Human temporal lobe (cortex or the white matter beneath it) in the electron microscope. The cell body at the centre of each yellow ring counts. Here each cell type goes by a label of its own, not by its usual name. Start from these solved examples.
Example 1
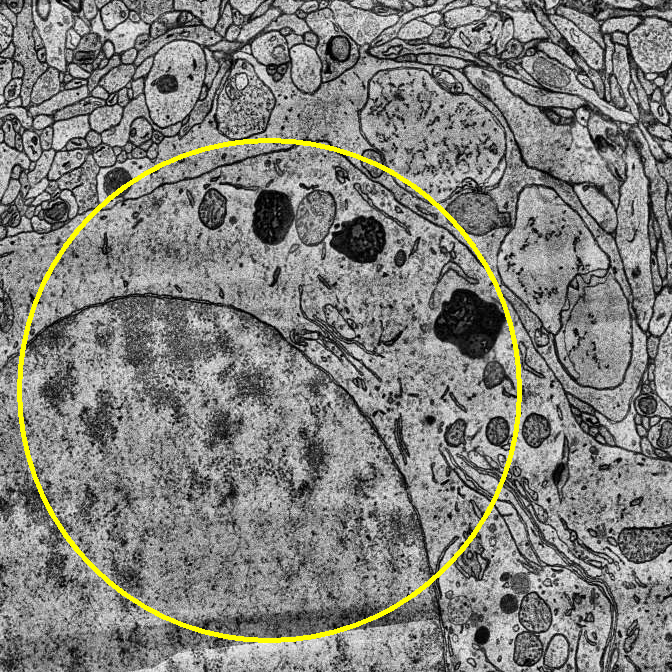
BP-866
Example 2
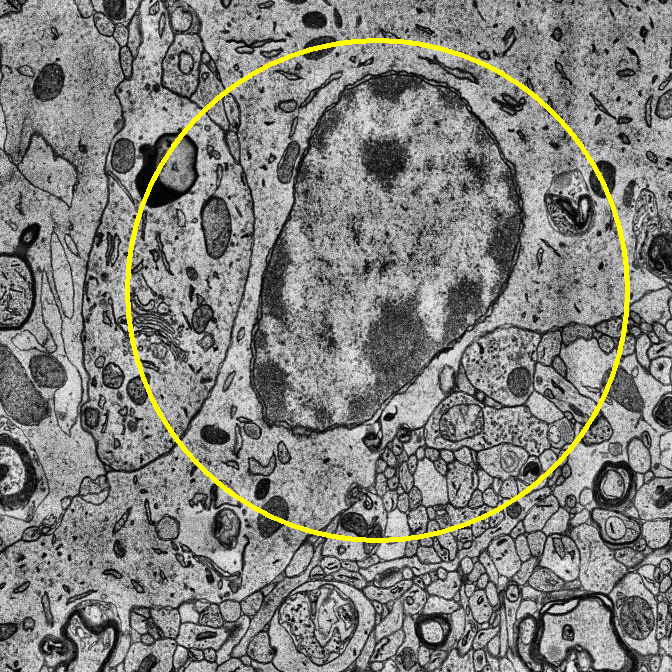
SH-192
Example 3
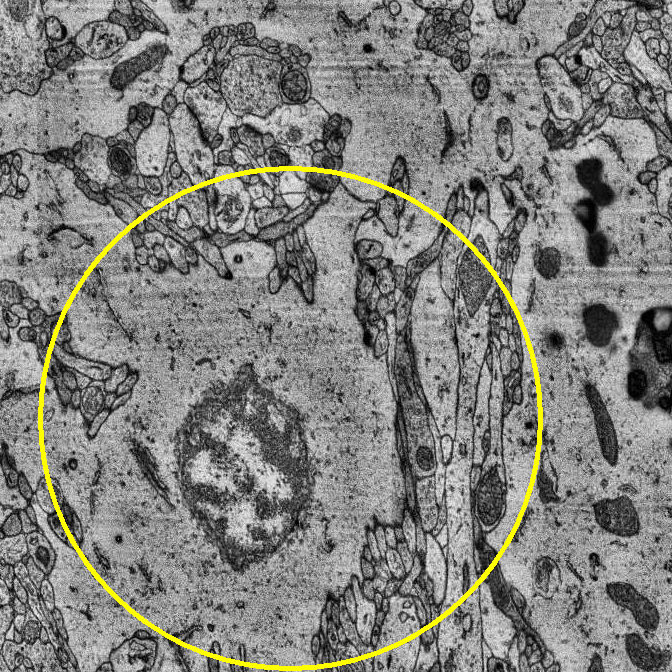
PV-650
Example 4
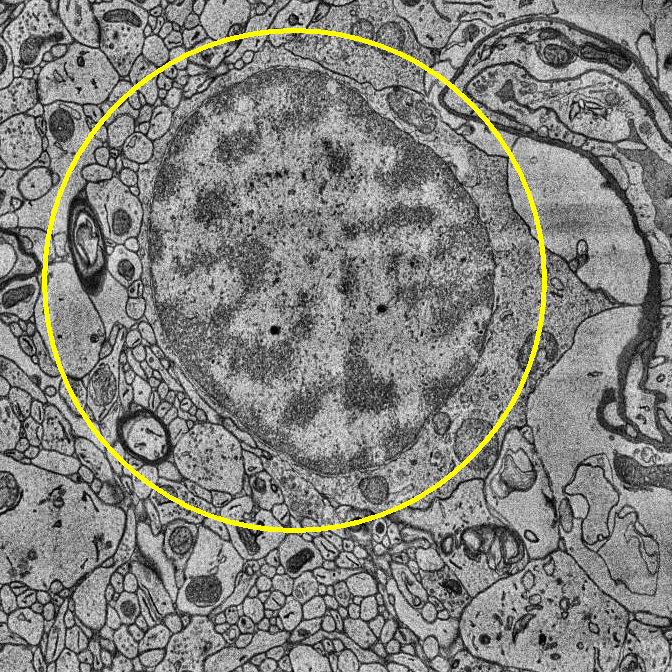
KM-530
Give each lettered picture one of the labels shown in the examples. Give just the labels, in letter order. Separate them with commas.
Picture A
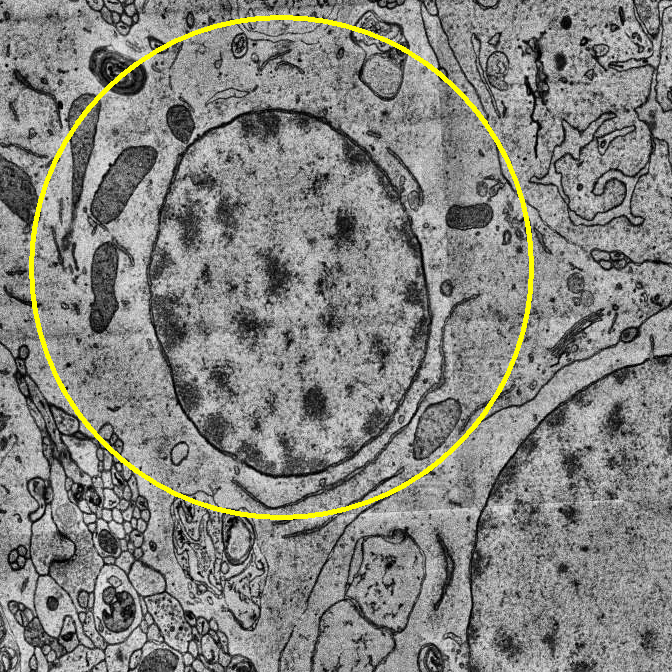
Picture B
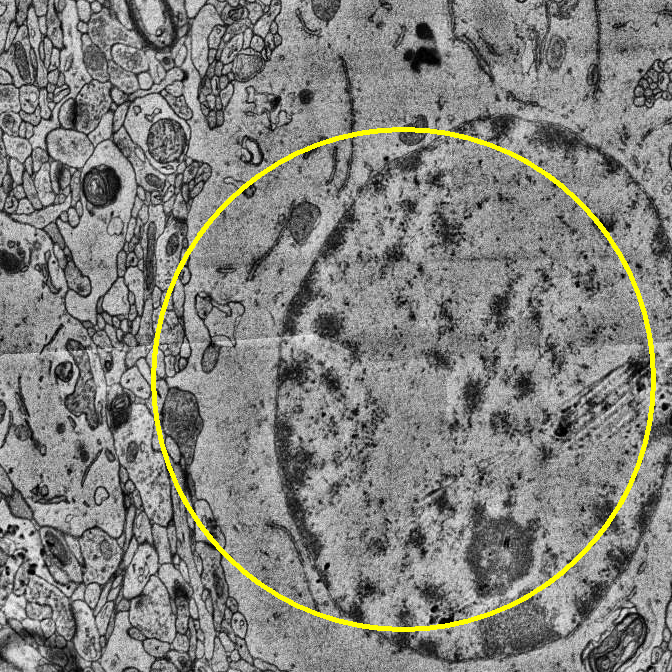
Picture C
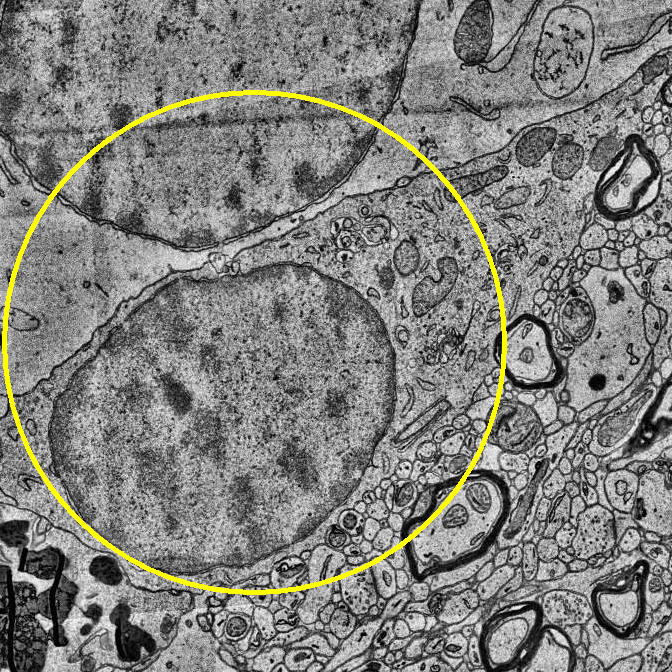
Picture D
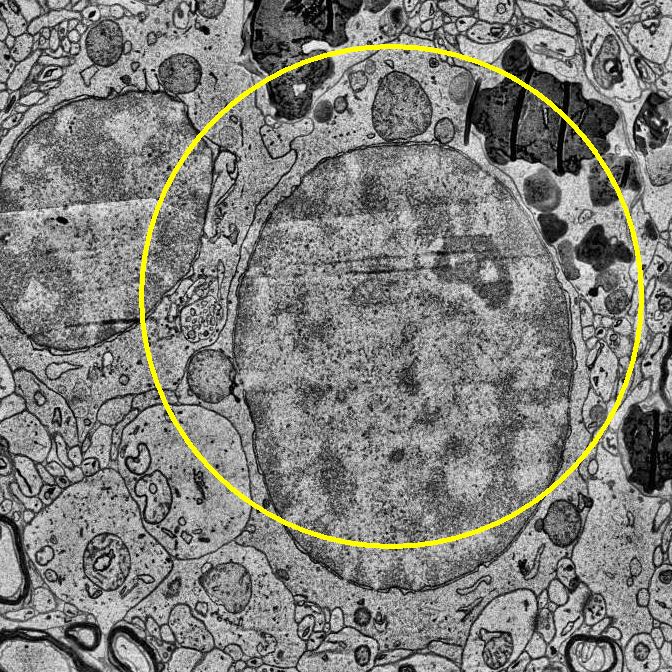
PV-650, PV-650, KM-530, KM-530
